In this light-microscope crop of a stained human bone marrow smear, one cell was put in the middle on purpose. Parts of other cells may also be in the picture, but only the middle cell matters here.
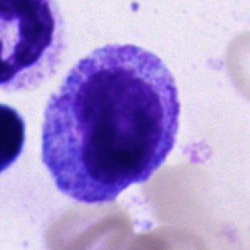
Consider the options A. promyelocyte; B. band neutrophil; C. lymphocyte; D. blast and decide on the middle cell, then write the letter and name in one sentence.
The best answer is option A, since the cell in the middle is a promyelocyte.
